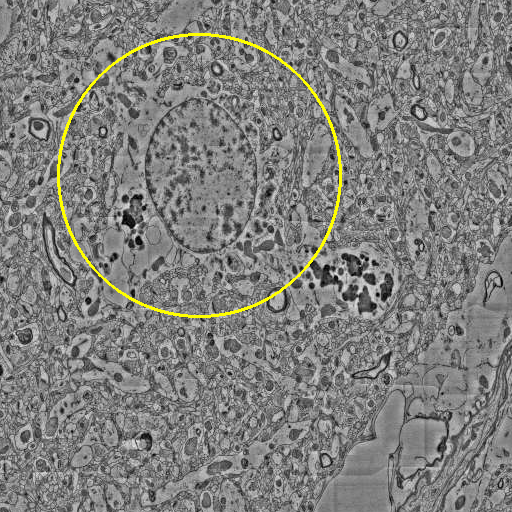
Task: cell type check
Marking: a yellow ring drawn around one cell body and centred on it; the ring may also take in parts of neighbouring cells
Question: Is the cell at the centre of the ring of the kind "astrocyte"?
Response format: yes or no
yes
